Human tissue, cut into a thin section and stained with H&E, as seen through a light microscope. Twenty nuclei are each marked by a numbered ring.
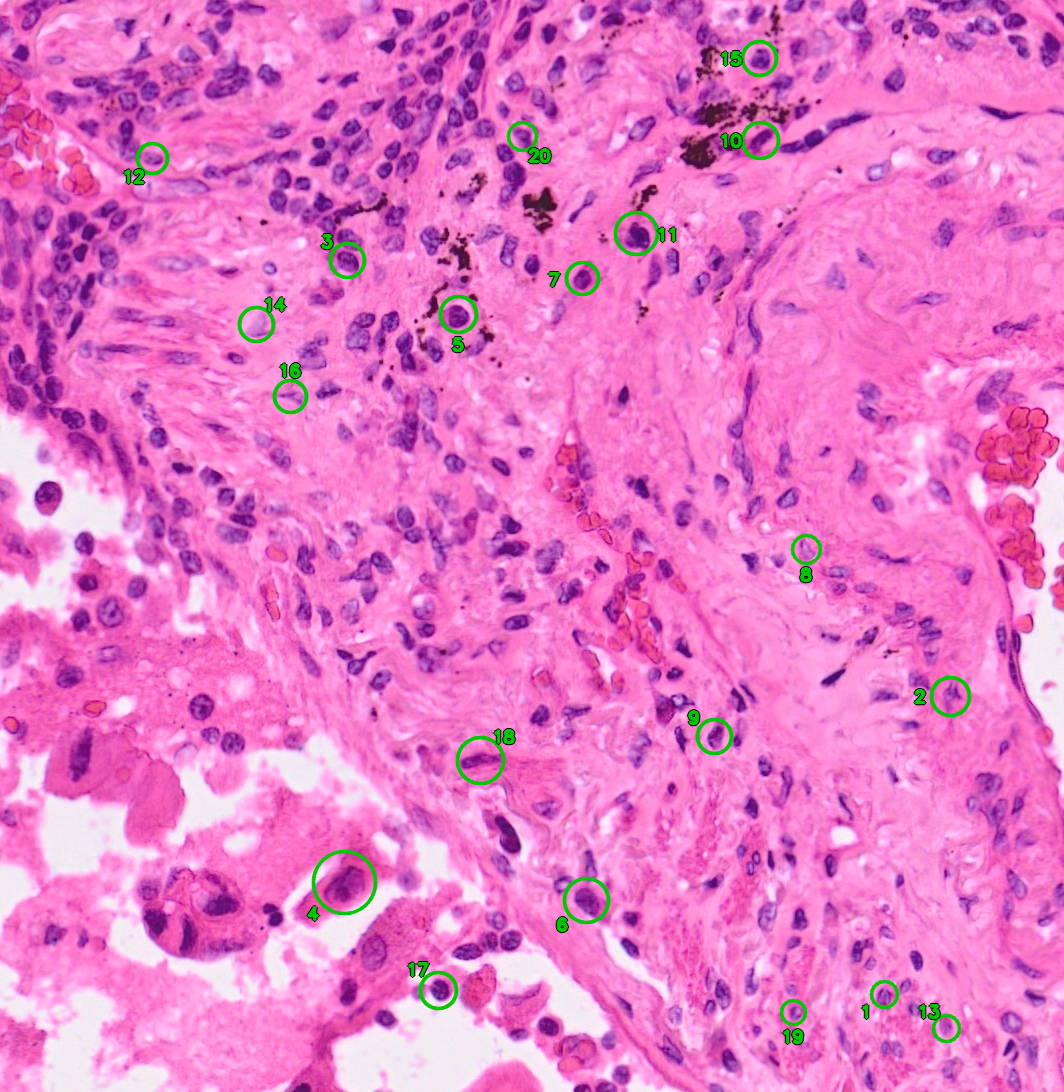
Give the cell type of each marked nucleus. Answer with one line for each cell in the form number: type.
1: smooth muscle cell or pericyte
2: smooth muscle cell or pericyte
3: plasma cell
4: carcinoma cell
5: plasma cell
6: plasma cell
7: plasma cell
8: smooth muscle cell or pericyte
9: plasma cell
10: plasma cell
11: plasma cell
12: lymphocyte
13: smooth muscle cell or pericyte
14: fibroblast
15: lymphocyte
16: fibroblast
17: lymphocyte
18: smooth muscle cell or pericyte
19: smooth muscle cell or pericyte
20: plasma cell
